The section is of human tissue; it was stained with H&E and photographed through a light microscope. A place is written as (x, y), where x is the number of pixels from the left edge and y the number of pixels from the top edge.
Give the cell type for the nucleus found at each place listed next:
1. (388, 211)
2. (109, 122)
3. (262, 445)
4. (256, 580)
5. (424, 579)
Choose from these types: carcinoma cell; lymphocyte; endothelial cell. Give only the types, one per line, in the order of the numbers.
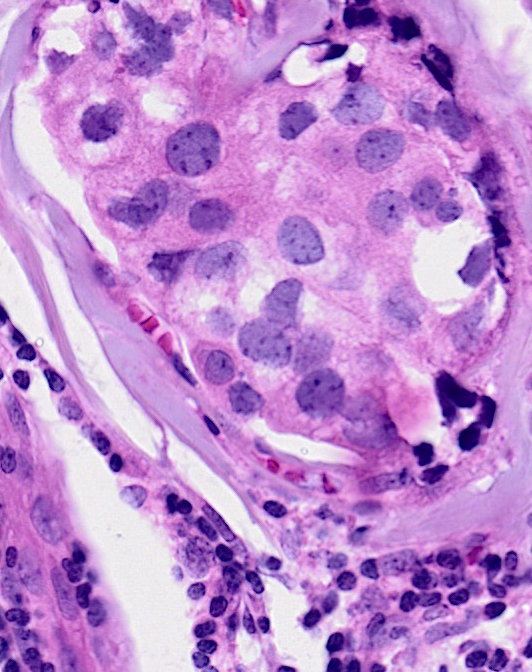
carcinoma cell
carcinoma cell
endothelial cell
lymphocyte
lymphocyte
